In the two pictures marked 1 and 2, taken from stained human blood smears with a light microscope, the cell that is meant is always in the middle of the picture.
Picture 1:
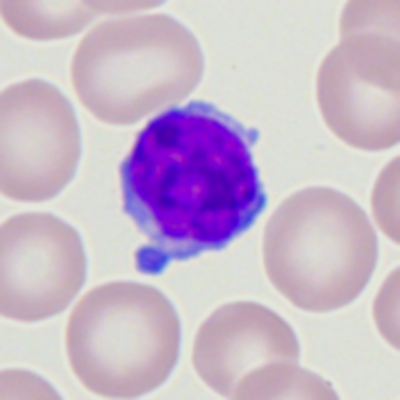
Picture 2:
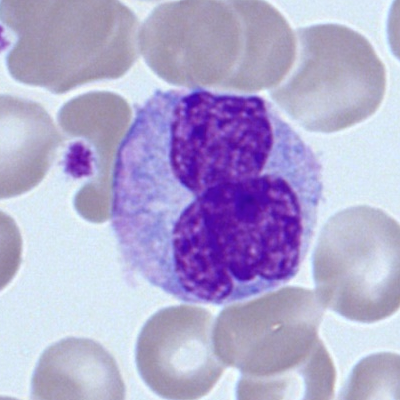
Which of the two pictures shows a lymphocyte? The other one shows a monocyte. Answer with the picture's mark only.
1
